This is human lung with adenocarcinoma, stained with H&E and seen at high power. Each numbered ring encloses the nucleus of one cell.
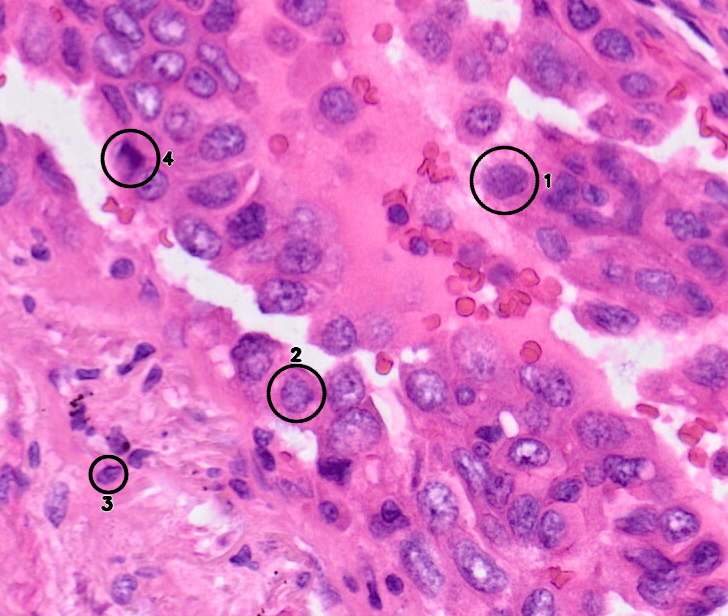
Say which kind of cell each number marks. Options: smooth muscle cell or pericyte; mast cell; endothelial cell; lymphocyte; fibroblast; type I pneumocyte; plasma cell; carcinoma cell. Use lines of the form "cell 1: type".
cell 1: carcinoma cell
cell 2: carcinoma cell
cell 3: mast cell
cell 4: carcinoma cell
